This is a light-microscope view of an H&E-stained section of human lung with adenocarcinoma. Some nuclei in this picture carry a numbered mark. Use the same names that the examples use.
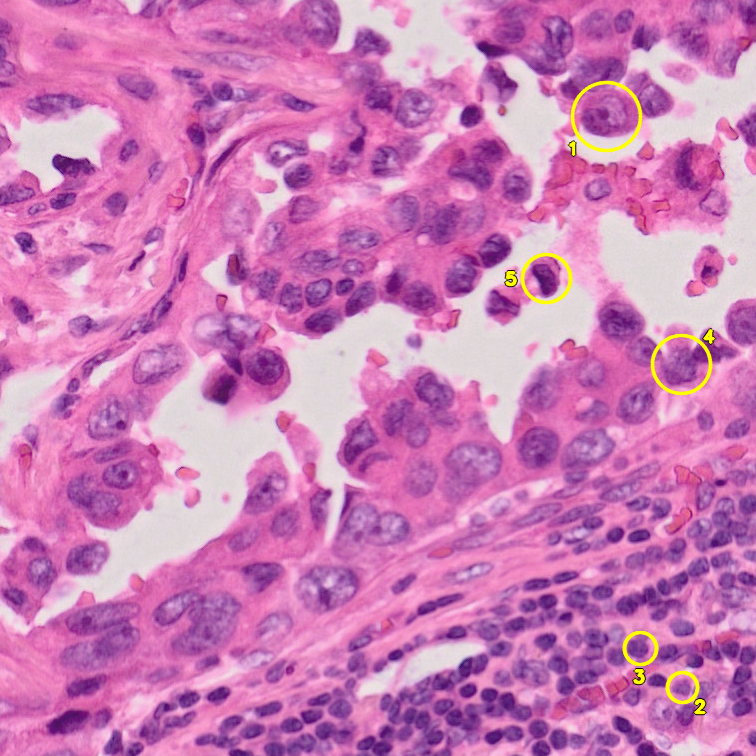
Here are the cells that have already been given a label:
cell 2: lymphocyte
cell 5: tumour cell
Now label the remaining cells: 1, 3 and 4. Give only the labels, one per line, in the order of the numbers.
tumour cell
lymphocyte
tumour cell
